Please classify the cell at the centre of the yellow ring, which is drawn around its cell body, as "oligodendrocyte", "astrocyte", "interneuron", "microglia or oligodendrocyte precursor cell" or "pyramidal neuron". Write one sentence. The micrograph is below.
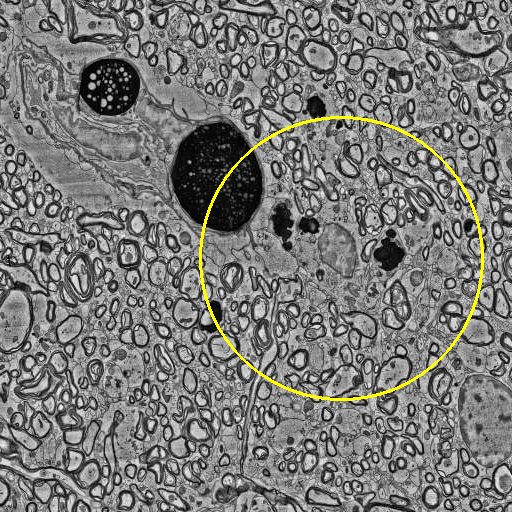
The cell at the ring's centre is classified as an oligodendrocyte.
